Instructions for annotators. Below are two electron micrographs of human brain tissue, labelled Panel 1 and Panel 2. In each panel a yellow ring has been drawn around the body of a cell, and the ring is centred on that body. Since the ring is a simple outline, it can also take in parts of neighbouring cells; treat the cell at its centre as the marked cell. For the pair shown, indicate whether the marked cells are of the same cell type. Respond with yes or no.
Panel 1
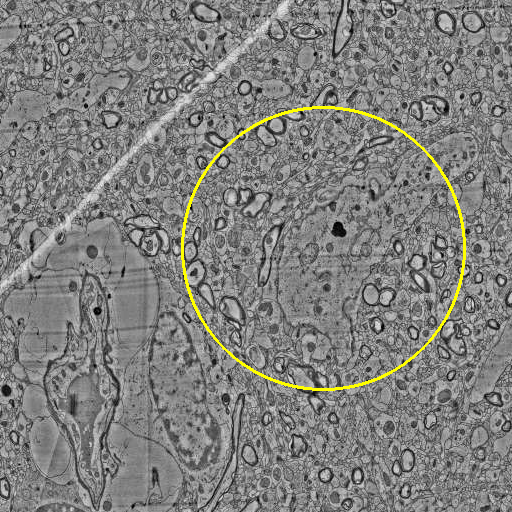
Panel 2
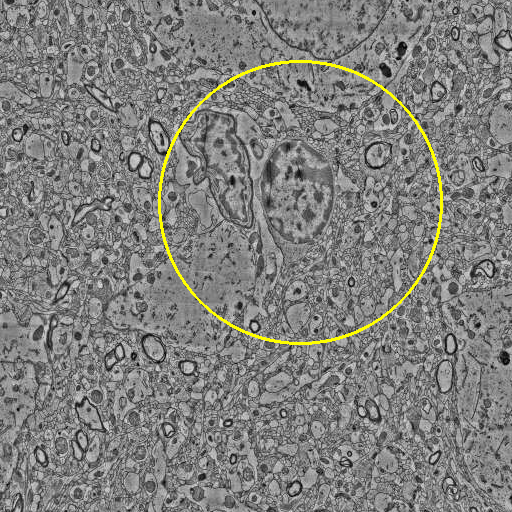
no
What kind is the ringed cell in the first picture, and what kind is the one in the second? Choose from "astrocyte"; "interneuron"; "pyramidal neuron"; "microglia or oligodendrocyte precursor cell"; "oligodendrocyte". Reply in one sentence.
The first cell is a pyramidal neuron; the second is an oligodendrocyte.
